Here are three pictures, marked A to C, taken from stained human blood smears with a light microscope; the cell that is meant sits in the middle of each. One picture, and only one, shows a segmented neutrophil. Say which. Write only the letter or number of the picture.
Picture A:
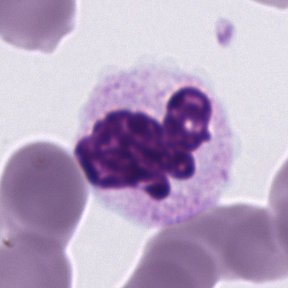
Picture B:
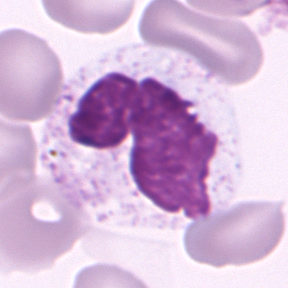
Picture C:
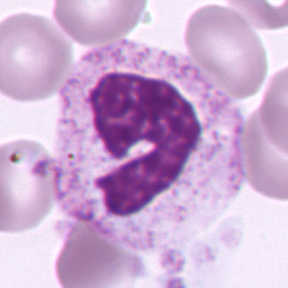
A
